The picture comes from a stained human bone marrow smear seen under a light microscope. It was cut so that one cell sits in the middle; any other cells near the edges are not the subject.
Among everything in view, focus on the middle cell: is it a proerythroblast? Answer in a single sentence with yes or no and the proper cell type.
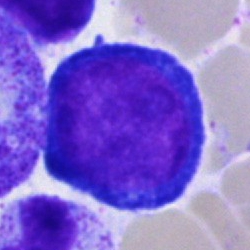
Yes, the crop is centred on a proerythroblast.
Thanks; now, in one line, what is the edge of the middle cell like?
Ragged or projecting, the border of this cell departs from a smooth contour.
